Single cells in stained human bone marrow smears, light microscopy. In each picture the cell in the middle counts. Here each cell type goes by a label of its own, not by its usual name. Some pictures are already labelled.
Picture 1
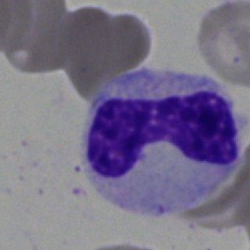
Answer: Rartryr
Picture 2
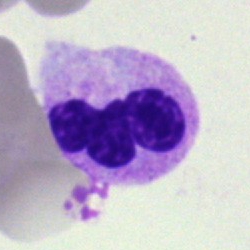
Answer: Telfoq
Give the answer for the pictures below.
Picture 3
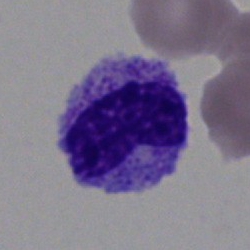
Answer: Rartryr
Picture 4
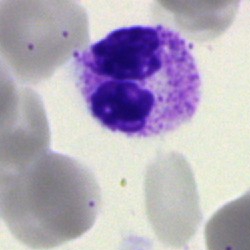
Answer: Telfoq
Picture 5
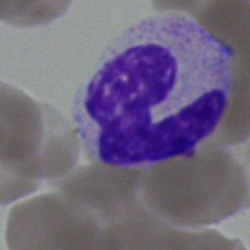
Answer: Rartryr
